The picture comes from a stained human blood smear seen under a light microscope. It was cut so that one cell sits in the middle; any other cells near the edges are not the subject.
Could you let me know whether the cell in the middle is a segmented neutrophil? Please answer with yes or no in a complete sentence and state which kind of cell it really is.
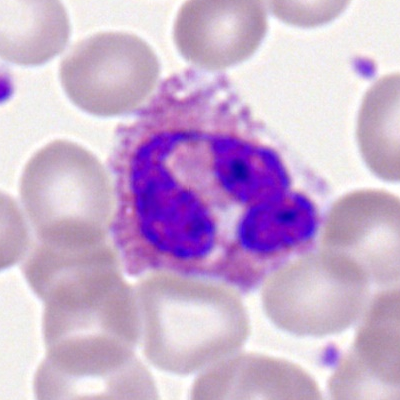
No, it is not a segmented neutrophil that sits at the centre but an eosinophil.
